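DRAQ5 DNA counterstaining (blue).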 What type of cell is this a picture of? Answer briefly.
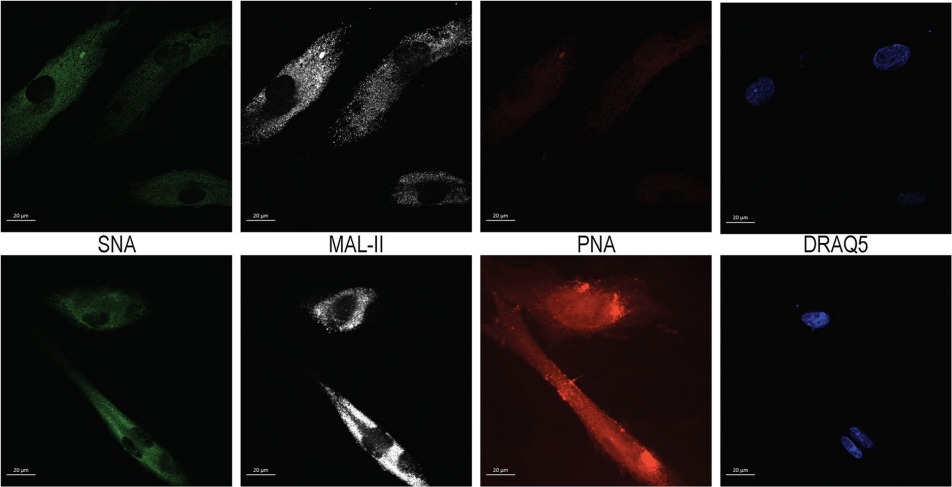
fibroblasts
